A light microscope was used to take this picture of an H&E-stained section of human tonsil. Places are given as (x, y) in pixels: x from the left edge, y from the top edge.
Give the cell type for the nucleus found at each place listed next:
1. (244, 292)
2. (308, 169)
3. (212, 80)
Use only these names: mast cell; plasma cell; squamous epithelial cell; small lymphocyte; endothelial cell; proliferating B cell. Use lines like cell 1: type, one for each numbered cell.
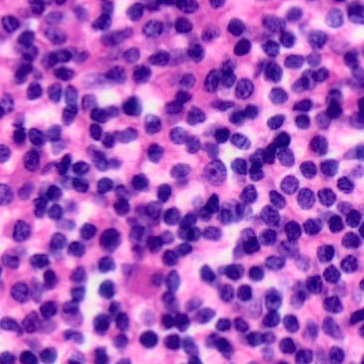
cell 1: small lymphocyte
cell 2: small lymphocyte
cell 3: plasma cell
